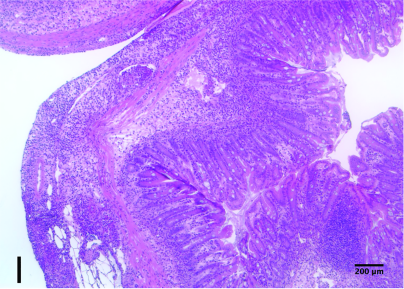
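A section of large intestinal wall in pink and purple shows a markedly thickened mucosa with long, crowded crypts lined by columnar epithelium. Between and beneath the crypts, the tissue is packed with countless small, dark purple nuclei, forming broad, dense cellular sheets that expand the lamina propria and spill into the deeper layers. Compared with a normal gut wall, the architecture is distorted and thickened, consistent with heavy inflammatory cell infiltration and crypt hyperplasia.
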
